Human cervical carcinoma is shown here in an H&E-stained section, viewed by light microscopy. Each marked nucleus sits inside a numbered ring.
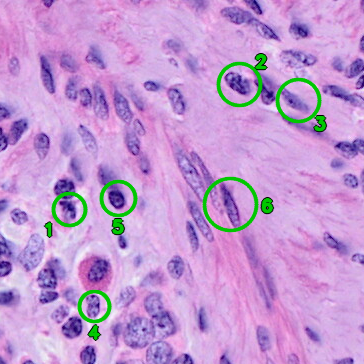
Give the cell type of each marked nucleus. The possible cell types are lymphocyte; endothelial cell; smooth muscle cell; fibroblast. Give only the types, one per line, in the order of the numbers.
lymphocyte
lymphocyte
fibroblast
lymphocyte
lymphocyte
smooth muscle cell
